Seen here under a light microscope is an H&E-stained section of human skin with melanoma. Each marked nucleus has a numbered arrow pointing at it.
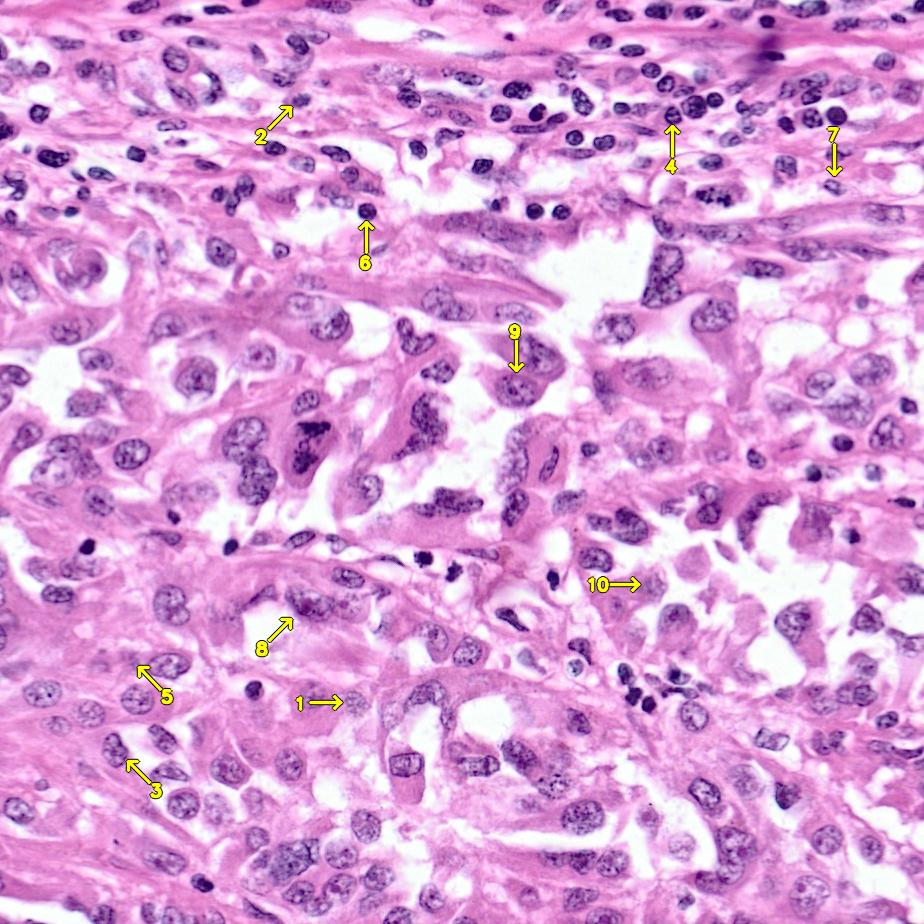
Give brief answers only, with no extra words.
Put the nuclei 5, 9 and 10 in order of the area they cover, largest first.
9, 10, 5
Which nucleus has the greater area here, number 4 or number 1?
1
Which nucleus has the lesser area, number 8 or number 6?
6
